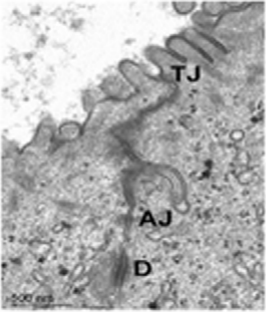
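This electron micrograph shows the apical region where two adjacent epithelial cells meet, with a junctional complex along their shared border. The free apical surface at the top carries finger-like microvilli projecting into the empty space above. Below the surface the two cell membranes run closely together, and lower down a dark, dense plaque-like thickening lies on both sides of the border. The cytoplasm on either side is granular with scattered small vesicles.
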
